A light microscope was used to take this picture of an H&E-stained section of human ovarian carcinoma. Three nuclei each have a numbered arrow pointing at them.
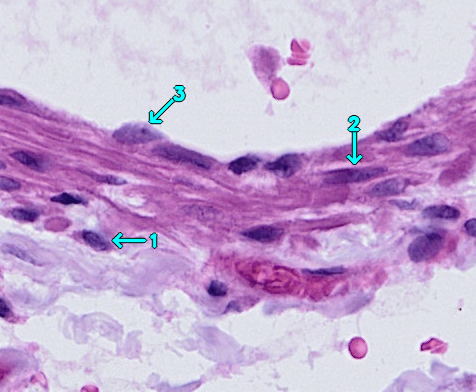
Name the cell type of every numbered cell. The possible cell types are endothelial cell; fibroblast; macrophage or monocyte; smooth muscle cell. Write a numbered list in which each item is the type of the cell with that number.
1. fibroblast
2. smooth muscle cell
3. endothelial cell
